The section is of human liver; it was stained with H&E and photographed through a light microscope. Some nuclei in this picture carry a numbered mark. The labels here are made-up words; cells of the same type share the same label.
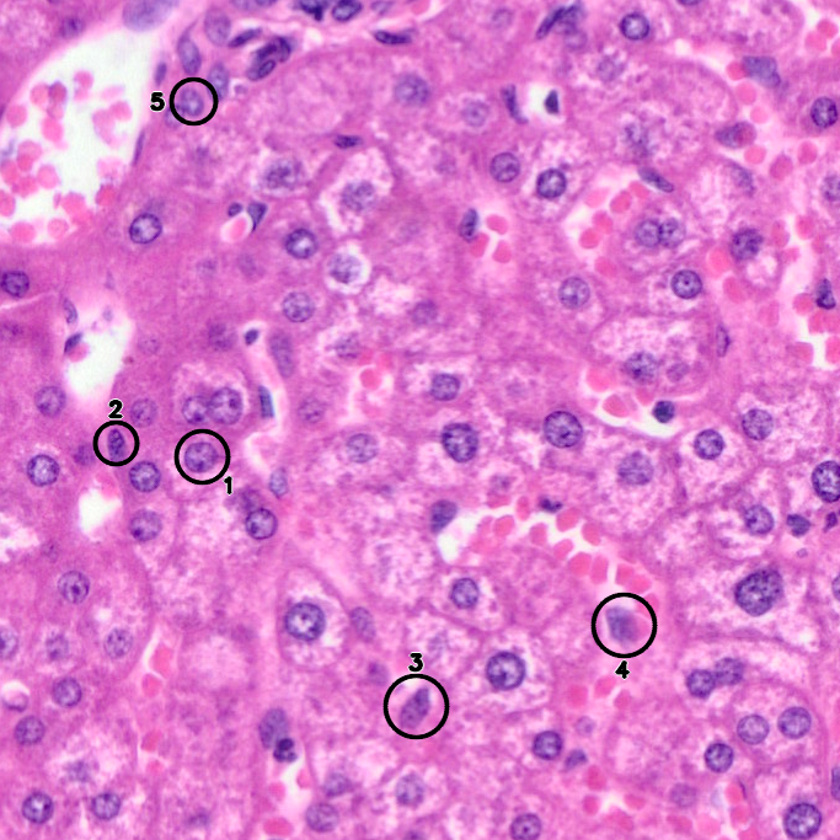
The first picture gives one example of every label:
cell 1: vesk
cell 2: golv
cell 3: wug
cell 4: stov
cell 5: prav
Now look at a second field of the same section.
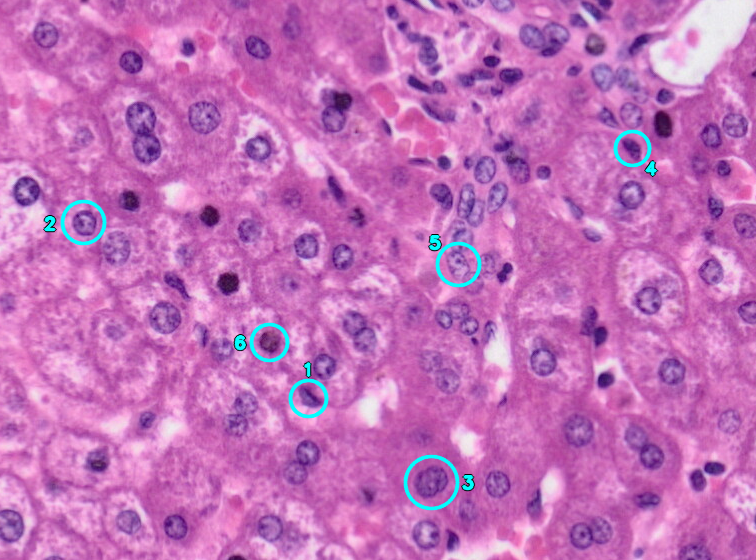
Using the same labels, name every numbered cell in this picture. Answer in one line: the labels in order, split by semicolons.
stov; vesk; vesk; golv; prav; vesk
